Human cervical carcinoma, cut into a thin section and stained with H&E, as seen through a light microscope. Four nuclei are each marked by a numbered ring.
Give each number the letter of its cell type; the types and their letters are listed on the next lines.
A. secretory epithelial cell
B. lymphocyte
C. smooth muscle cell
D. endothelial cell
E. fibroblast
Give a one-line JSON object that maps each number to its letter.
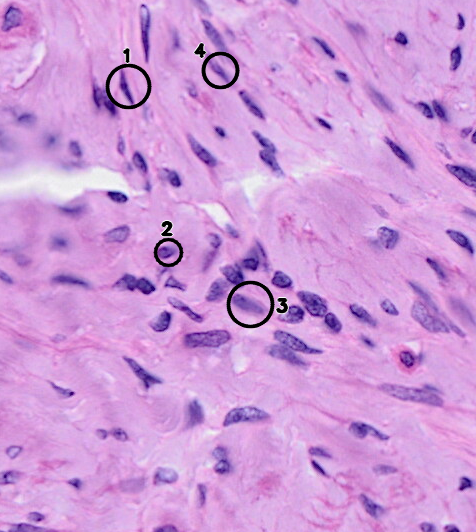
{"1": "E", "2": "E", "3": "E", "4": "C"}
